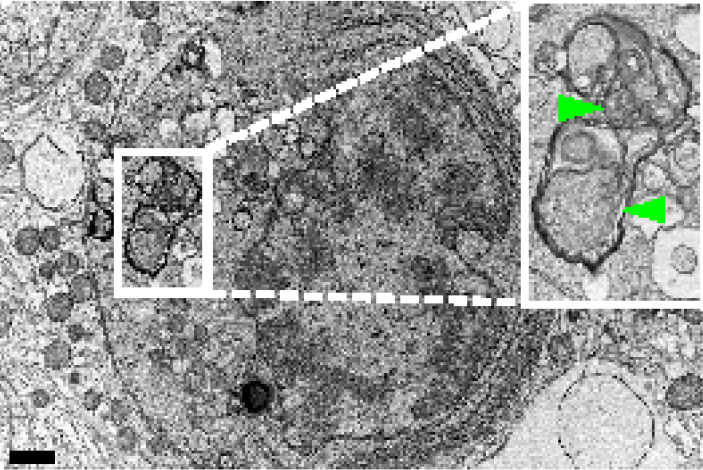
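The large nucleus takes up much of the field, with clumped, darker chromatin and an irregular outline. In the enlarged inset, dark curling membranes wrap around rounded organelles, some of which look like damaged mitochondria. Overall the cell looks disorganised and is breaking down.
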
